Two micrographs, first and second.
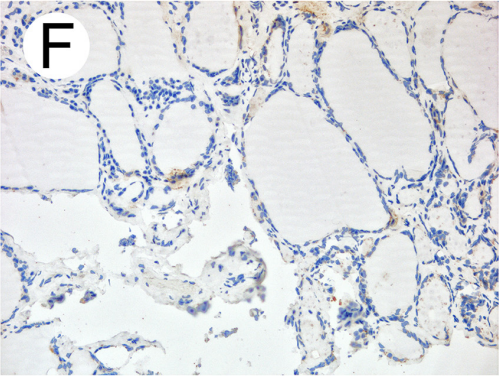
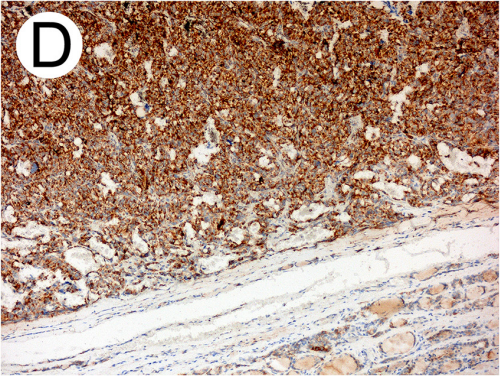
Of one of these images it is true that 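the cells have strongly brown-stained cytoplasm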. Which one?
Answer: The second image.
